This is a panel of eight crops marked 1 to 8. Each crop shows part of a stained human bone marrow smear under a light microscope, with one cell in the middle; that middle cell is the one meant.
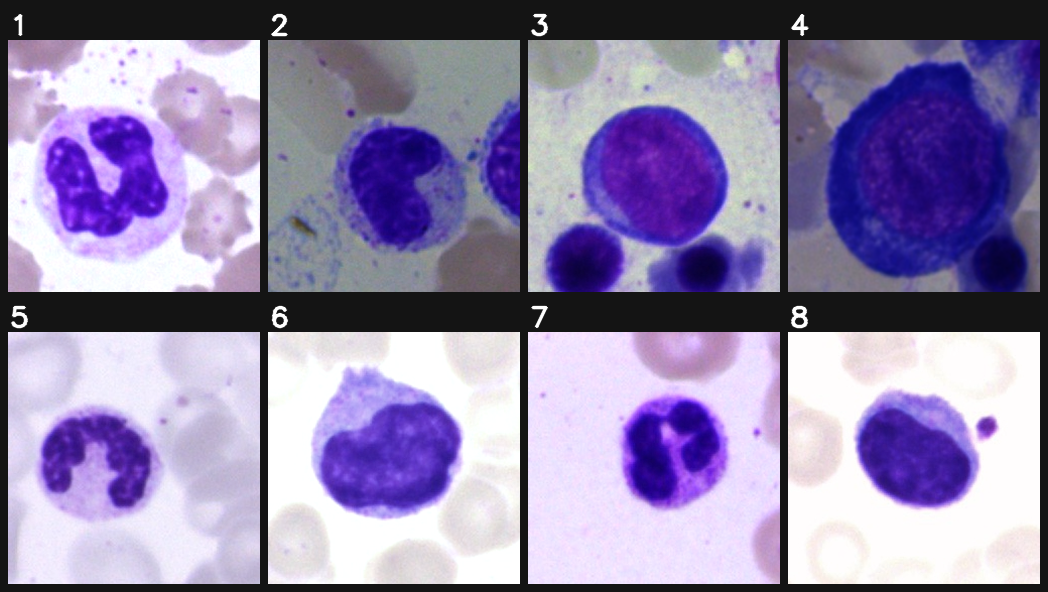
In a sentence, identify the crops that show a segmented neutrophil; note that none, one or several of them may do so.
That crops 1, 5 and 7 show segmented neutrophils is the identification made here.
